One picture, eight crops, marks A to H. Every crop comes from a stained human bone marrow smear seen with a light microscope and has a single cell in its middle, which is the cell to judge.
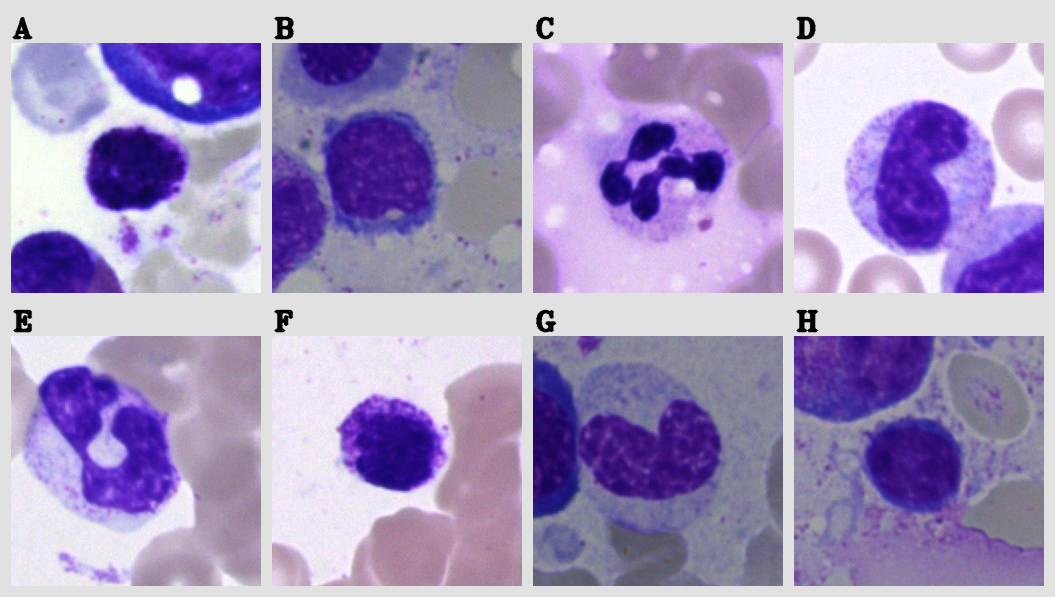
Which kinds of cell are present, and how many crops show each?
basophil: 2
lymphocyte: 2
segmented neutrophil: 2
metamyelocyte: 2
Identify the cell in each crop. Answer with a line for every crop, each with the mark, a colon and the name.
A: basophil
B: lymphocyte
C: segmented neutrophil
D: metamyelocyte
E: segmented neutrophil
F: basophil
G: metamyelocyte
H: lymphocyte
